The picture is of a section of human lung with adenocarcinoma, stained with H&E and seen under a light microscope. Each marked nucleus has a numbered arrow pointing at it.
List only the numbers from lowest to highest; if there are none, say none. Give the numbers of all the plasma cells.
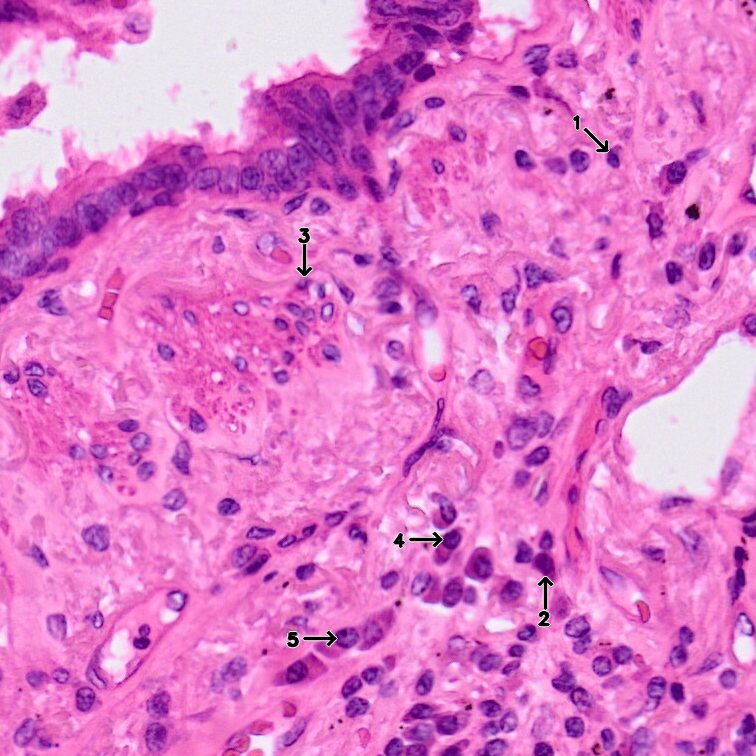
2, 4, 5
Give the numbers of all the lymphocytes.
1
